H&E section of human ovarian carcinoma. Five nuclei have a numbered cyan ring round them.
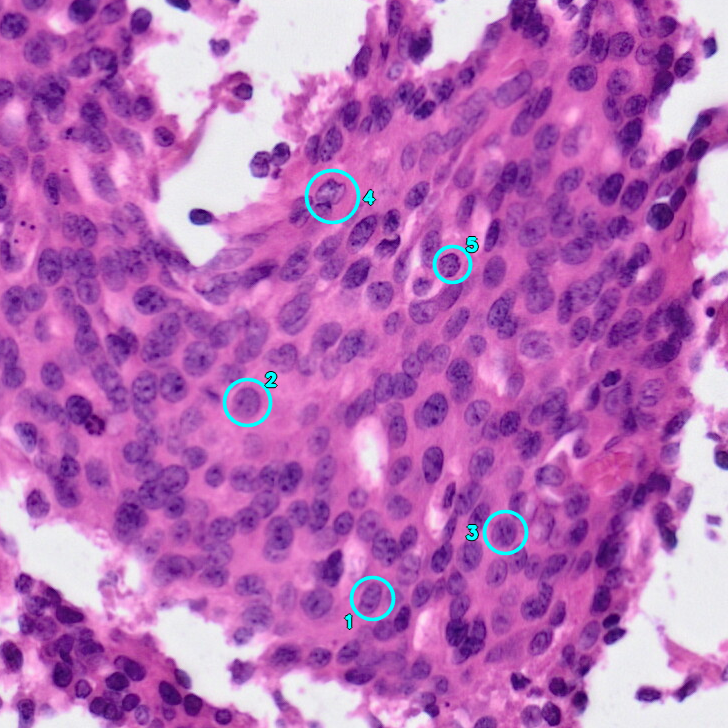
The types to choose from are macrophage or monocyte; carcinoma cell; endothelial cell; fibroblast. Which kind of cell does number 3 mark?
carcinoma cell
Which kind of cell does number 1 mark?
carcinoma cell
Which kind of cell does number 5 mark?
macrophage or monocyte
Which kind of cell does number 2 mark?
carcinoma cell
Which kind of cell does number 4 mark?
endothelial cell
